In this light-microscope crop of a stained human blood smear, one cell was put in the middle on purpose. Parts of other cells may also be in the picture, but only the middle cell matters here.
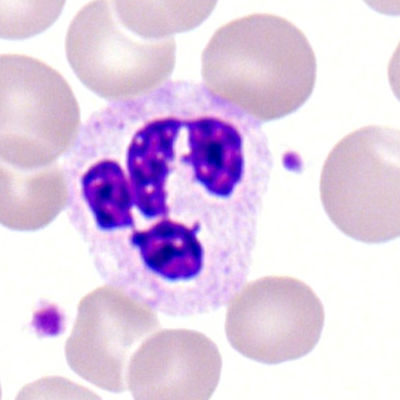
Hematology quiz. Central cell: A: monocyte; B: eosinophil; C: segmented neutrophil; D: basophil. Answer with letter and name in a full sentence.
The cell positioned centrally is a segmented neutrophil, as given in option C, which is correct.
